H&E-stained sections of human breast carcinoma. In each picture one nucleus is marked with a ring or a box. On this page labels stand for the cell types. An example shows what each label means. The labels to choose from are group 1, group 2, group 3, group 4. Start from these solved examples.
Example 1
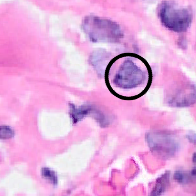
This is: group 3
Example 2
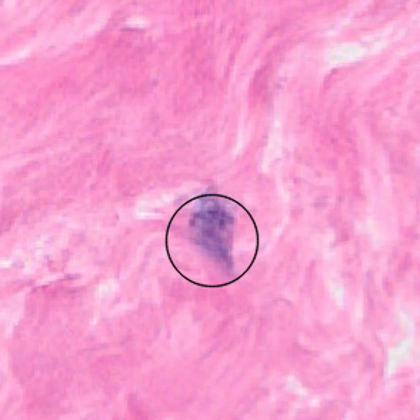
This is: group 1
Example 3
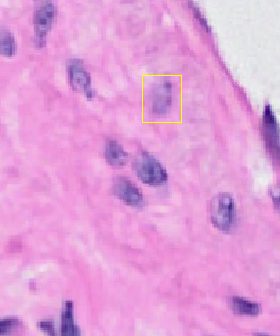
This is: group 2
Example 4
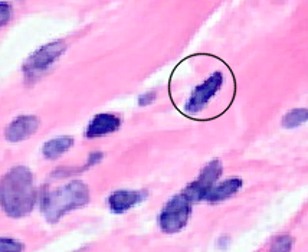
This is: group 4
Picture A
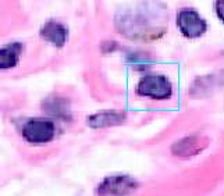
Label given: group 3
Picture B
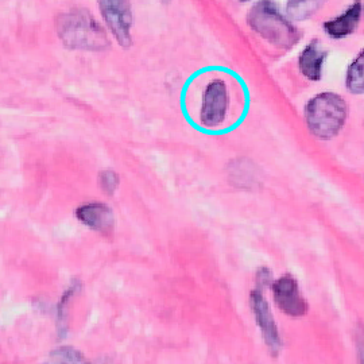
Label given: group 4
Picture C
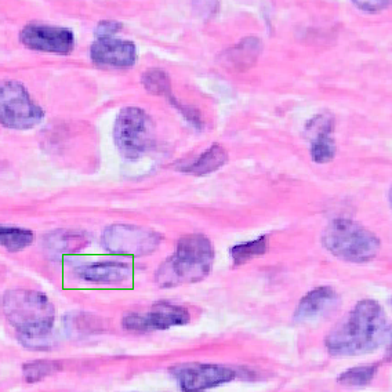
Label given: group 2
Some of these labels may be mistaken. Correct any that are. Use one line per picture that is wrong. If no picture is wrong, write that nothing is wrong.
A is labelled group 3; correct label: group 4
